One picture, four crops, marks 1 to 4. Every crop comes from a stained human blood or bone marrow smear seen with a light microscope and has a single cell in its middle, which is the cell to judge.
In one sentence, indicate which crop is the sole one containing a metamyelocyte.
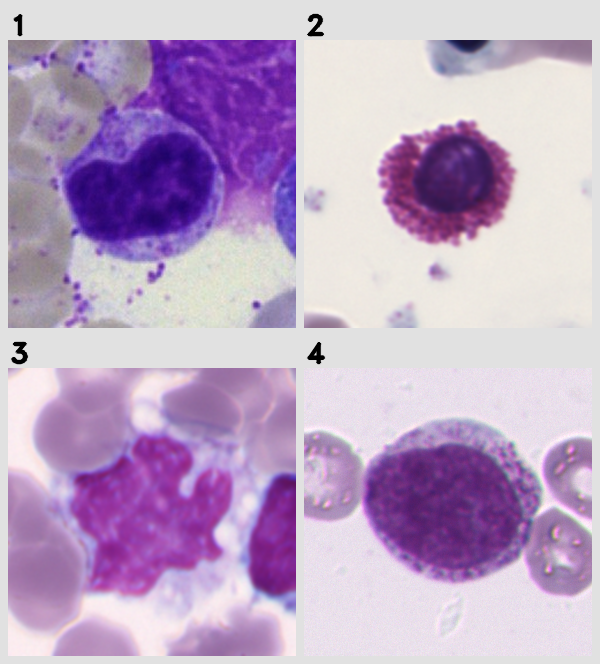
Crop 1 is where a metamyelocyte is to be found.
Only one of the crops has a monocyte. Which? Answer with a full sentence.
The crop bearing a monocyte is crop 3.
